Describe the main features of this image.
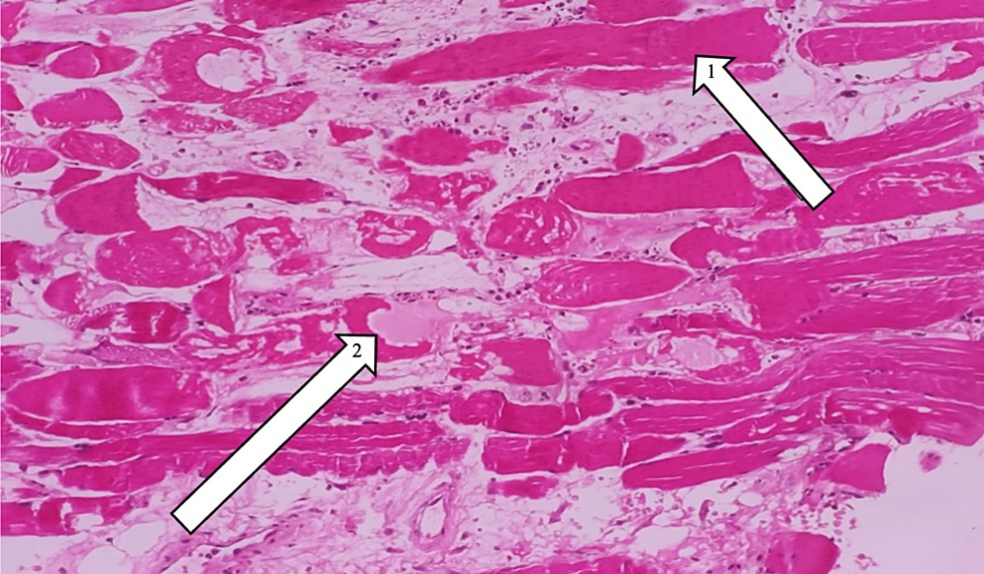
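Skeletal muscle with necrotic muscle fibers, cut longitudinally and obliquely. Many fibers stain intensely and homogeneously pink, appear broad and fragmented into segments, and show few or no nuclei. The fibers lie widely separated by pale, loose, wispy stroma containing scattered small dark nuclei. In places pale, washed-out pink patches lie among the deeper pink fibers, lacking visible nuclei. A small blood vessel lies in the loose tissue near the lower edge. The overall pattern is of disrupted, separated and fragmented fibers rather than the tightly packed parallel arrangement of normal muscle.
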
